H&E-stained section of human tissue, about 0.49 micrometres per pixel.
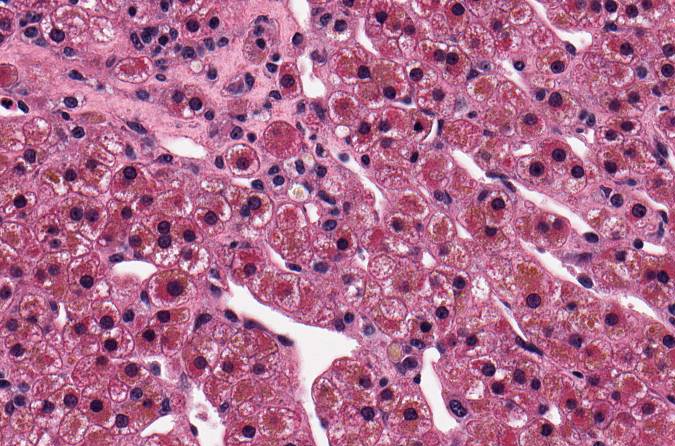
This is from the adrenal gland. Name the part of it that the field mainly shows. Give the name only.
zona reticularis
